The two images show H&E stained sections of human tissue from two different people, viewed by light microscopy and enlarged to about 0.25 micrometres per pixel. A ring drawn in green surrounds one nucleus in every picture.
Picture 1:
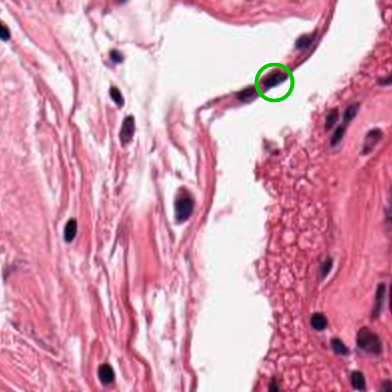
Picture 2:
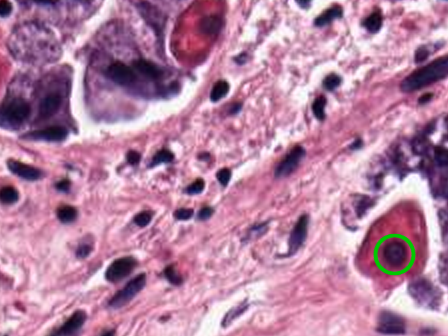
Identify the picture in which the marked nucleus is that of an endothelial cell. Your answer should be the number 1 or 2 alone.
1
